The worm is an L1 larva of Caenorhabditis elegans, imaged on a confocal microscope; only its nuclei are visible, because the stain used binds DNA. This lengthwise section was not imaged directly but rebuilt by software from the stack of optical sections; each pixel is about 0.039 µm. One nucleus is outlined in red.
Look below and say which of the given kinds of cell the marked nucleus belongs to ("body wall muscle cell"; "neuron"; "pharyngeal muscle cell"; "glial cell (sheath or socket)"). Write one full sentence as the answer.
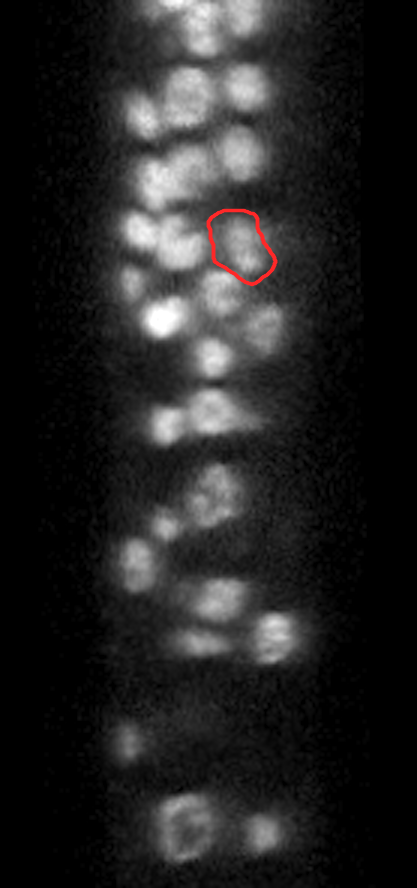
The marked cell is a body wall muscle cell.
